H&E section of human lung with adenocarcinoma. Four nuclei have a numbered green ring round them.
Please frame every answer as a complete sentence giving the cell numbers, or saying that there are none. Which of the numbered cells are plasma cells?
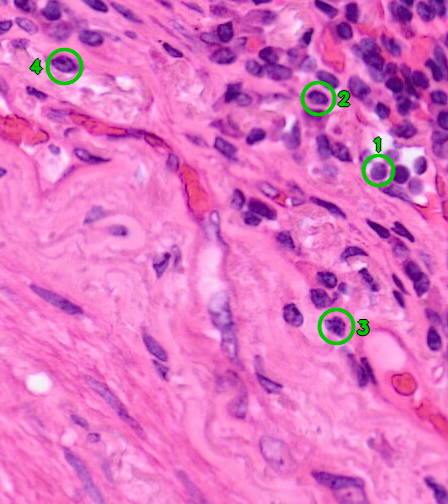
Among the numbered cells, a plasma cell occurs only once, as cell 4.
